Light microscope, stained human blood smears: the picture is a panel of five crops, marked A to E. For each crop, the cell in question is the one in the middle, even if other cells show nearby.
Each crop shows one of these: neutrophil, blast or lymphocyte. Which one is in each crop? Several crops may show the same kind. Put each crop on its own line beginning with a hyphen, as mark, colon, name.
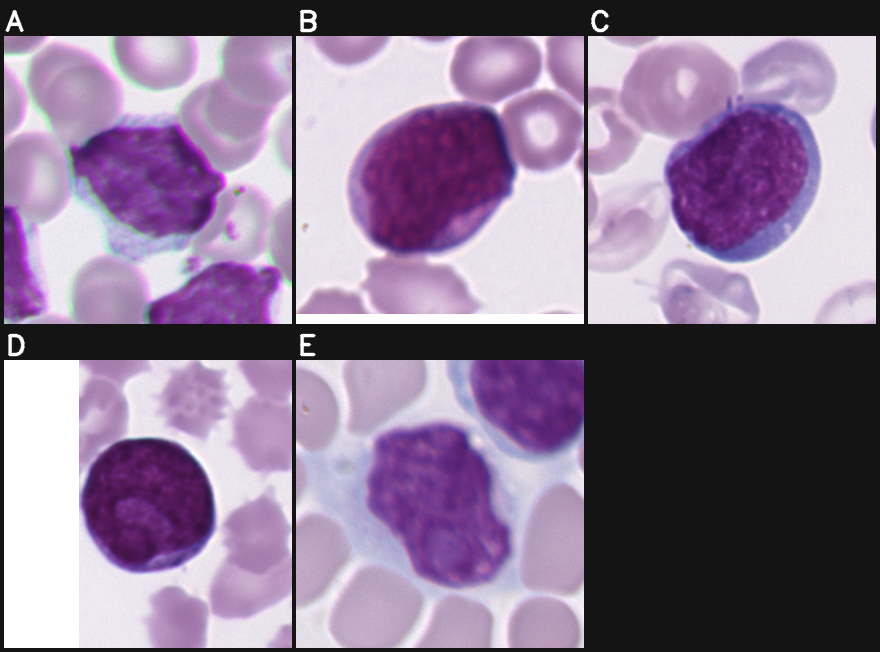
- A: lymphocyte
- B: blast
- C: blast
- D: blast
- E: blast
